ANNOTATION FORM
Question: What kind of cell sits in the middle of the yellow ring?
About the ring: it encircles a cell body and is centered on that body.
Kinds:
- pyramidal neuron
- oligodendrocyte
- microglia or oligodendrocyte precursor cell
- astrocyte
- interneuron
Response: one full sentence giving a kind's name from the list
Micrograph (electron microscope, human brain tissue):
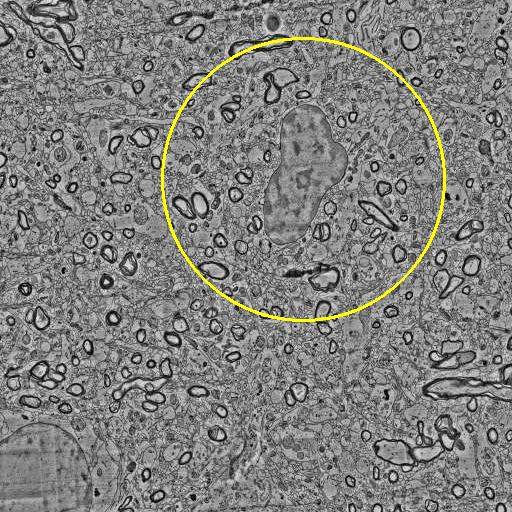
The kind of cell found at the center of the yellow ring in the micrograph is a microglial cell or oligodendrocyte precursor cell.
